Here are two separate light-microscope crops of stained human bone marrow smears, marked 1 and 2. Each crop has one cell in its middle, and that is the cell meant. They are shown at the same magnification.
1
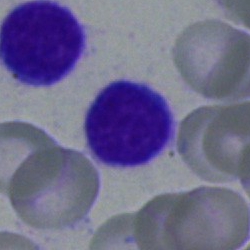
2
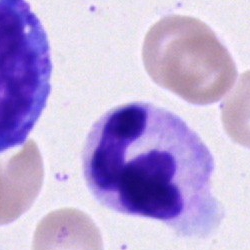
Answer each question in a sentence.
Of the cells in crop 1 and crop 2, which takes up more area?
Larger is the cell in crop 2, at roughly 2 times the area of the other.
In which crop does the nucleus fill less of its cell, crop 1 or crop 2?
In crop 2 the nucleus takes up the smaller part of its cell.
